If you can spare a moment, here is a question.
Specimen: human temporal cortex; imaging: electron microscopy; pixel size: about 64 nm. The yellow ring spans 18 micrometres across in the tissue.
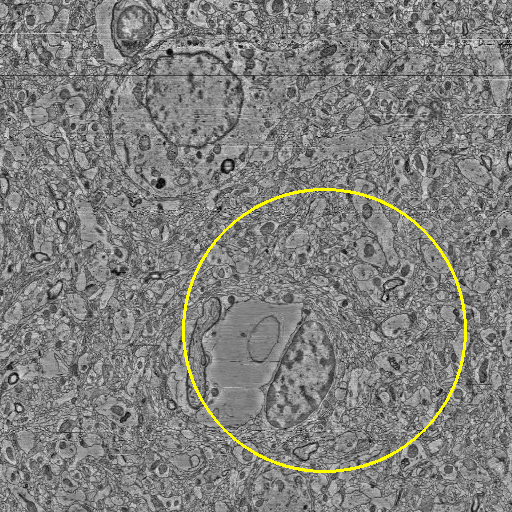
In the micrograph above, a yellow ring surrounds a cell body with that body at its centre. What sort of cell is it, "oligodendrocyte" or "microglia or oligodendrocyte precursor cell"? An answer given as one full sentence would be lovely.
Centred inside the yellow ring, the cell body shown belongs to a microglial cell or oligodendrocyte precursor cell in this micrograph.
